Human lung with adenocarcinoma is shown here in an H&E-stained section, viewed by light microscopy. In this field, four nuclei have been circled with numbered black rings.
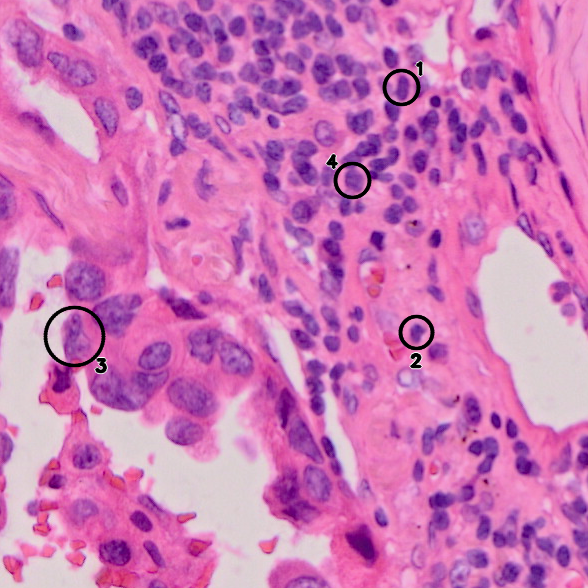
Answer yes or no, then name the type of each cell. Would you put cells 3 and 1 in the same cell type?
No, cell 3 is a carcinoma cell and cell 1 is a lymphocyte.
